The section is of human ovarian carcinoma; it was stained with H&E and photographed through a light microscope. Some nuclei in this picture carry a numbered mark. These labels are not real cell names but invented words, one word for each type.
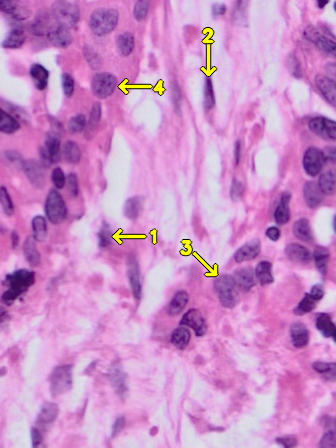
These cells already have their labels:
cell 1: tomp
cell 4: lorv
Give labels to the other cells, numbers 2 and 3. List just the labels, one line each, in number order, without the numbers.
tomp
lorv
